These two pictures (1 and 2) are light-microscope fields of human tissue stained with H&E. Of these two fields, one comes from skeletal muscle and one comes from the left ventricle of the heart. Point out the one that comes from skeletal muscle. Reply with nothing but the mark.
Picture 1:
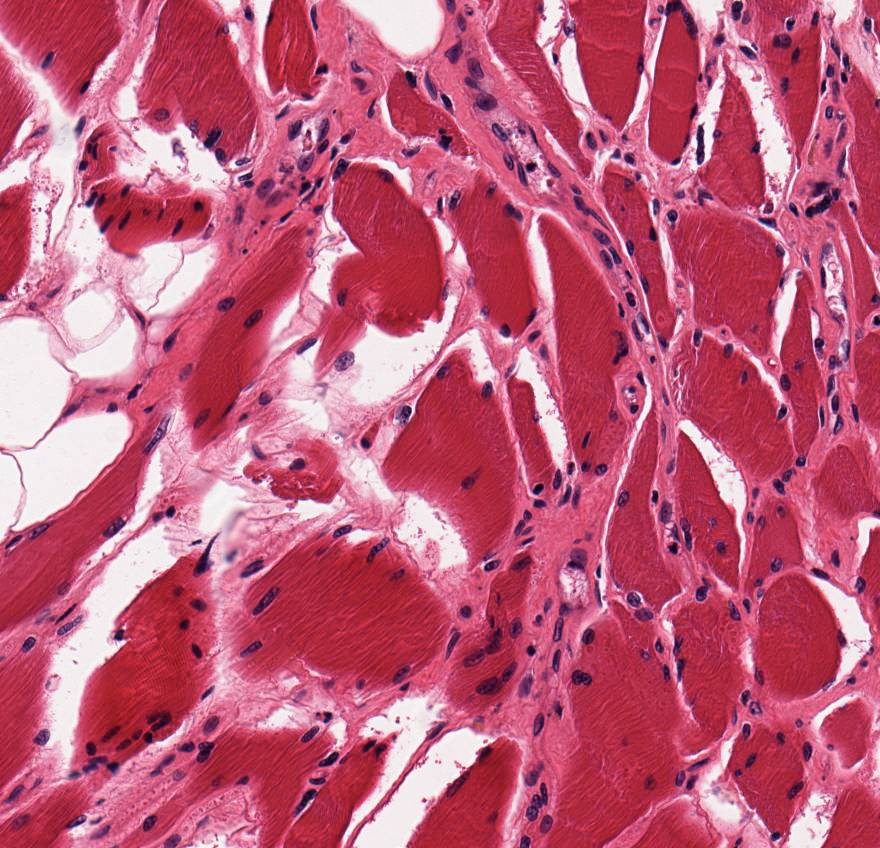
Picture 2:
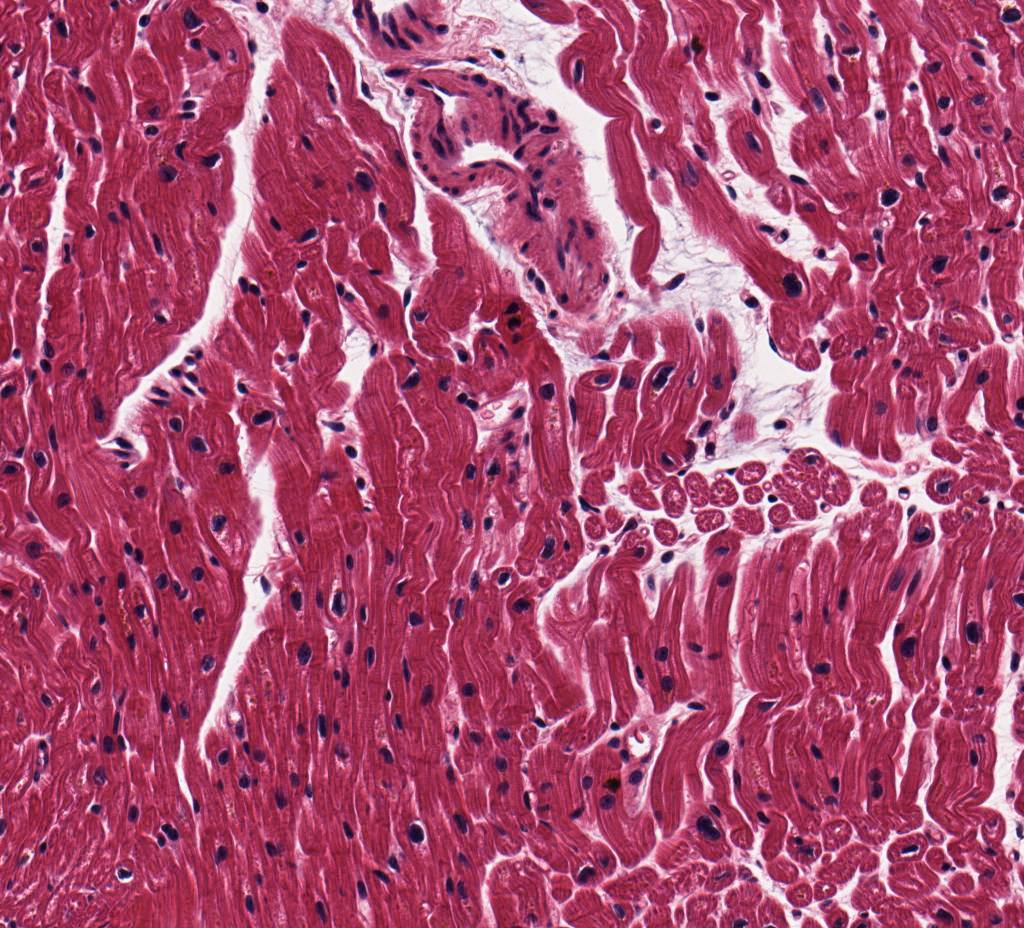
1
